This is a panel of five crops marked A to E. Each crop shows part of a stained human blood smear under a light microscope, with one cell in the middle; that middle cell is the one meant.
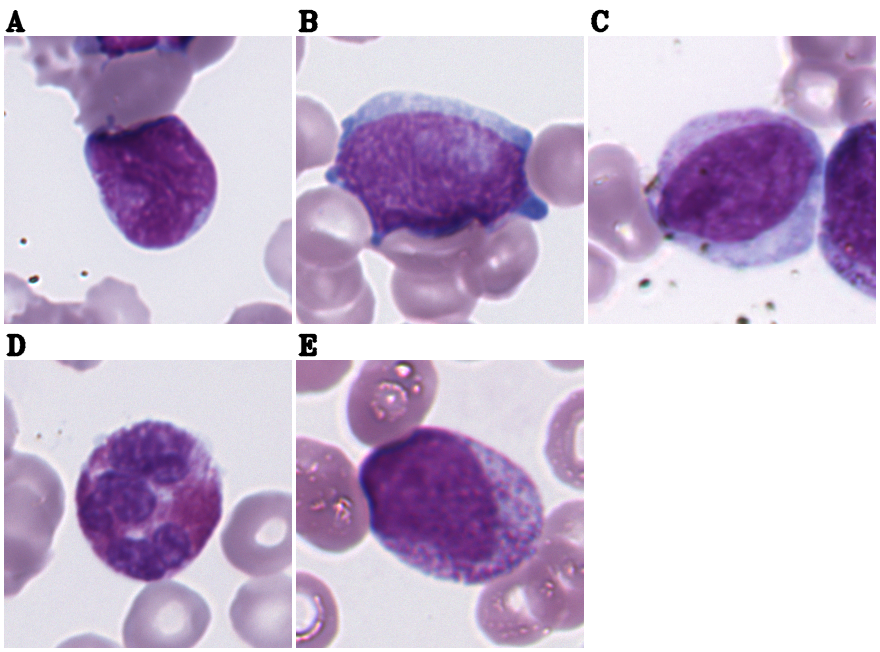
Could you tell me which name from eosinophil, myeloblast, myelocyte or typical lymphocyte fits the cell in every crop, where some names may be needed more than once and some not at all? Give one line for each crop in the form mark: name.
A: myeloblast
B: myeloblast
C: myelocyte
D: eosinophil
E: myelocyte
